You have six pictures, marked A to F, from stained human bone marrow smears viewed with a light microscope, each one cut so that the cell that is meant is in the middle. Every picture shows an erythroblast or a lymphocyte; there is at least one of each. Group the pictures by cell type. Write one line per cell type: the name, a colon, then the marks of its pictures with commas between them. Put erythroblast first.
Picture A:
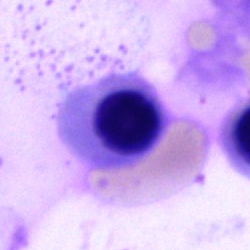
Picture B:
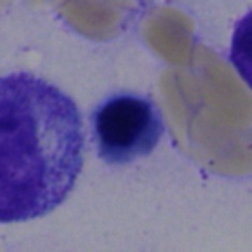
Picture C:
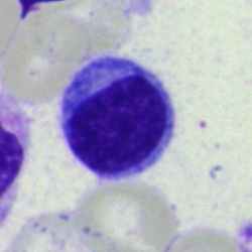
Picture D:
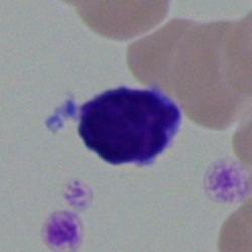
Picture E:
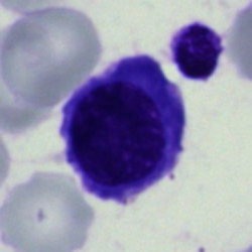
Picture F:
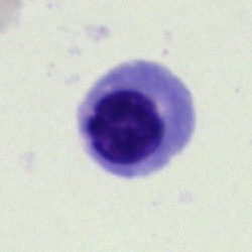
erythroblast: A, B, E, F
lymphocyte: C, D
